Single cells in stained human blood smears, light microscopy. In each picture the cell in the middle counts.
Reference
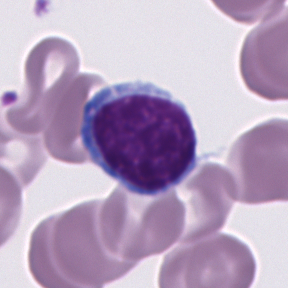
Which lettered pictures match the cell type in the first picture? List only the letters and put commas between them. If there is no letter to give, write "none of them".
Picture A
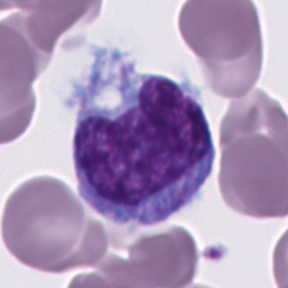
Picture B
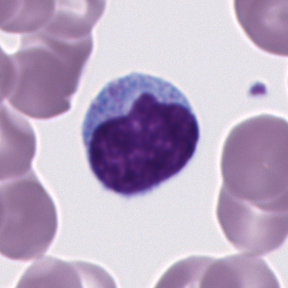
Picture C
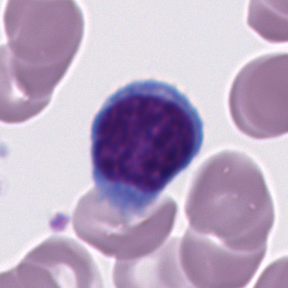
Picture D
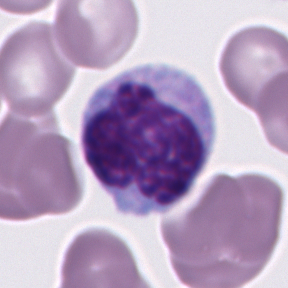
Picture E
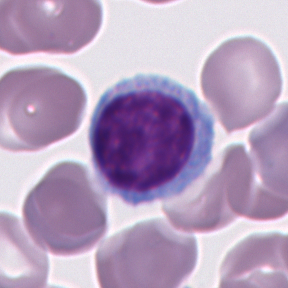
B, C, E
